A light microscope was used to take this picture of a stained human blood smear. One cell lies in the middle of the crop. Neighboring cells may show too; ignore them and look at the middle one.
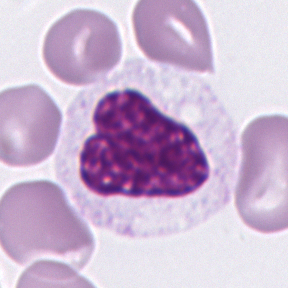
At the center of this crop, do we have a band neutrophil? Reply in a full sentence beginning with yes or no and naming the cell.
Yes, the cell in the centre is a band neutrophil.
